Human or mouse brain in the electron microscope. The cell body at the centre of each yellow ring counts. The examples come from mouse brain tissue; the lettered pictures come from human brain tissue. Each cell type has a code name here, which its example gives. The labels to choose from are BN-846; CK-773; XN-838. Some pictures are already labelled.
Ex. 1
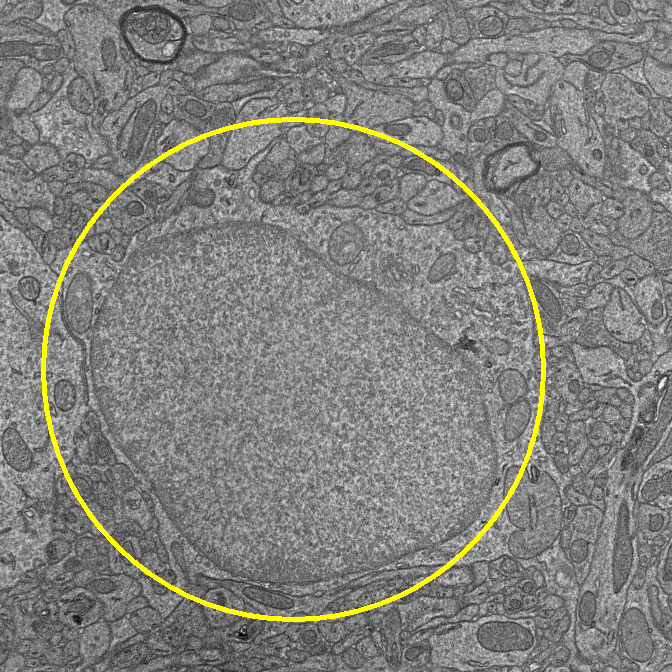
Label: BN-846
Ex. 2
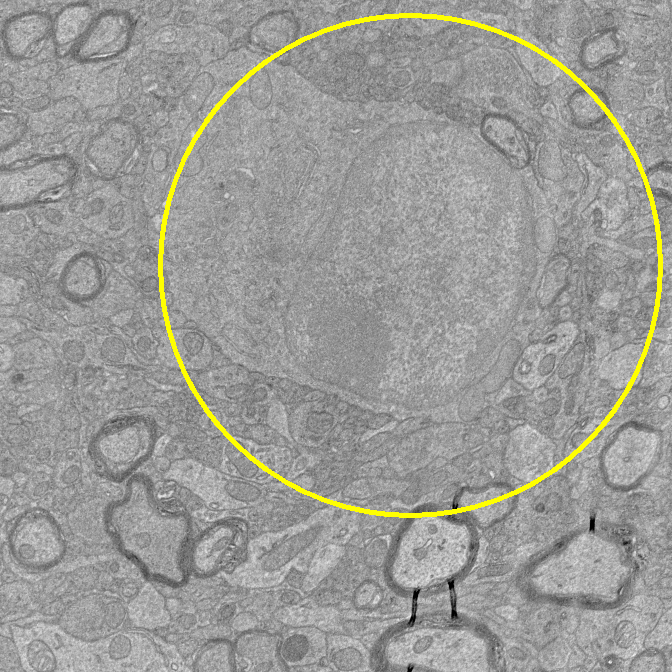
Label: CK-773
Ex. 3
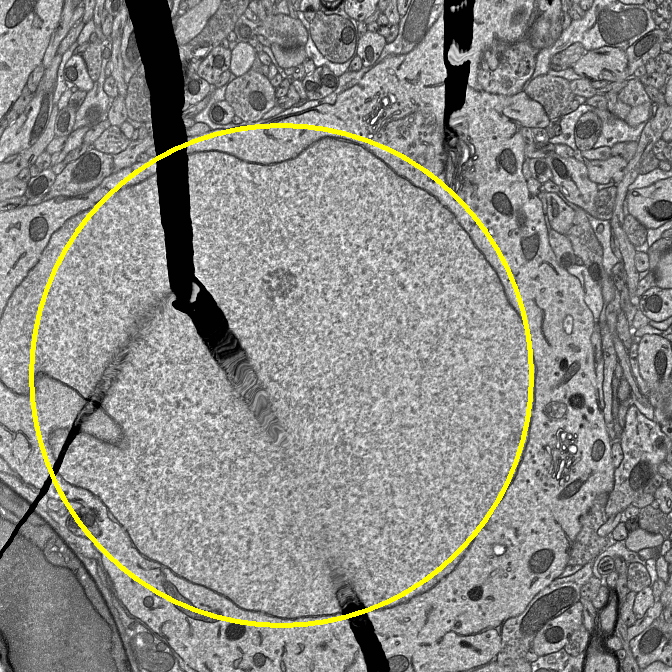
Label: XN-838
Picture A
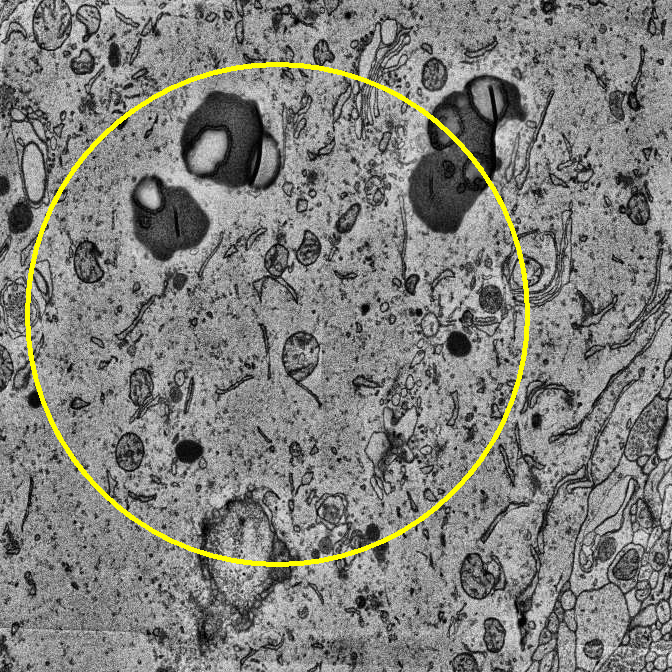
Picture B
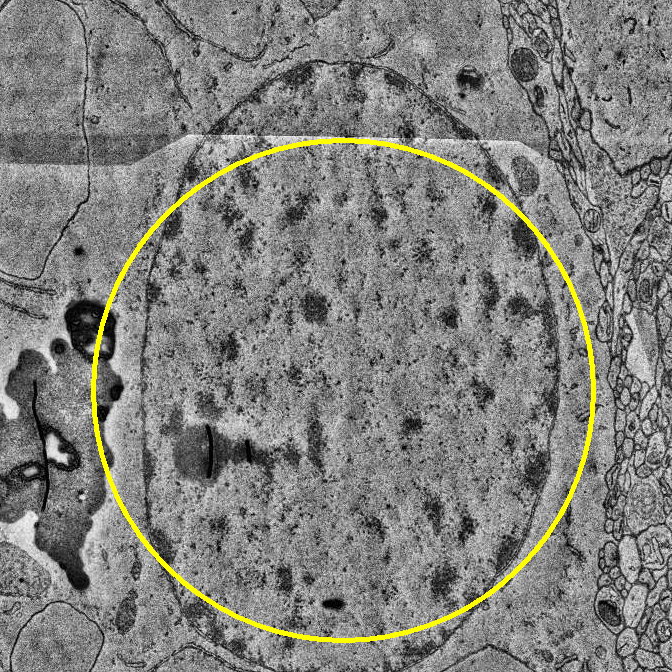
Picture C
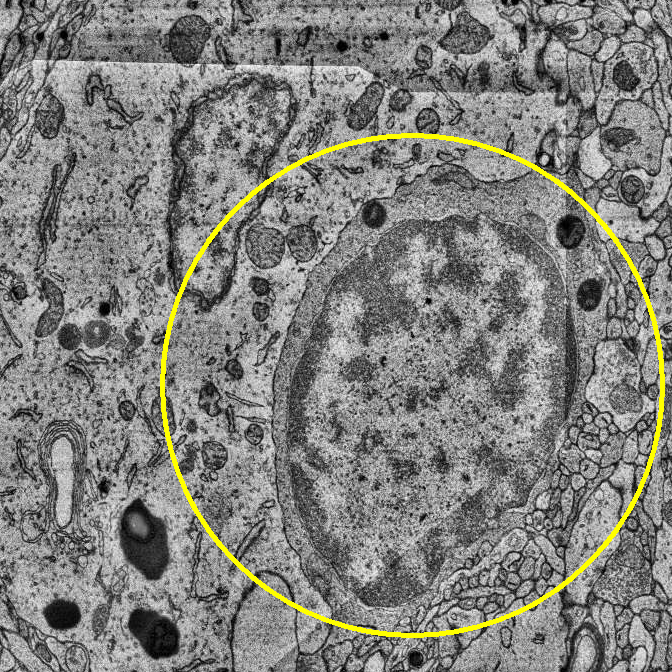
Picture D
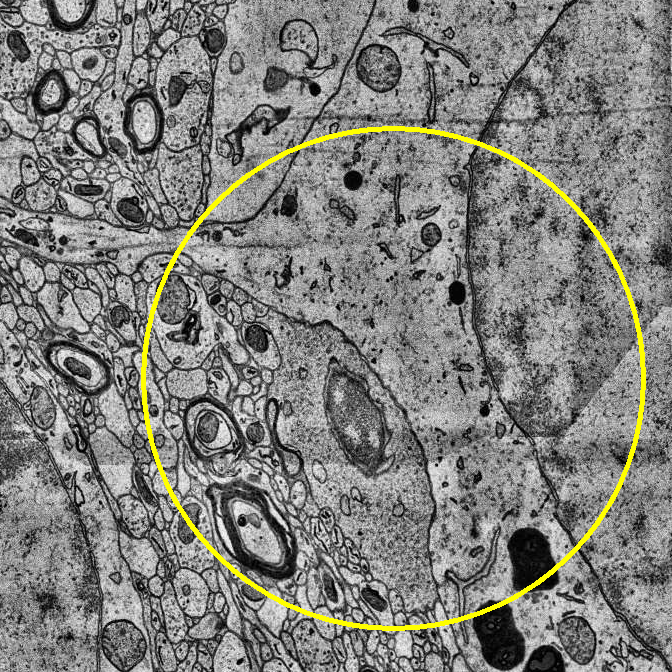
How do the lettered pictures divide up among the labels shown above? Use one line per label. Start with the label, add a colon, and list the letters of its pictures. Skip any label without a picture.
BN-846: B
CK-773: C, D
XN-838: A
